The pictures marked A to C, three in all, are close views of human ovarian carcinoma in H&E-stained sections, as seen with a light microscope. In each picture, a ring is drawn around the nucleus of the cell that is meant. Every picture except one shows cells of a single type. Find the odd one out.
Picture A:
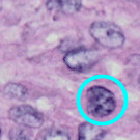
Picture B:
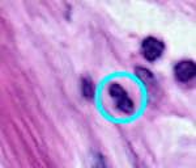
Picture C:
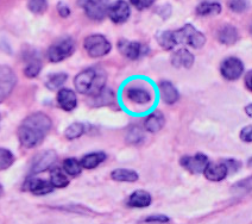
A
